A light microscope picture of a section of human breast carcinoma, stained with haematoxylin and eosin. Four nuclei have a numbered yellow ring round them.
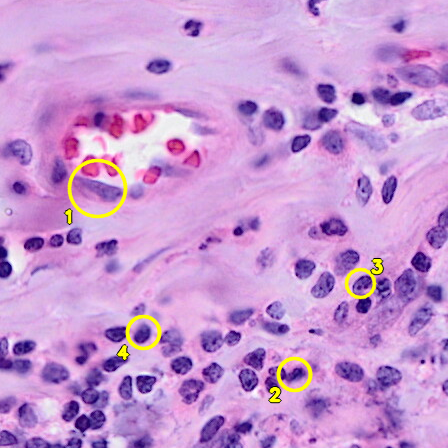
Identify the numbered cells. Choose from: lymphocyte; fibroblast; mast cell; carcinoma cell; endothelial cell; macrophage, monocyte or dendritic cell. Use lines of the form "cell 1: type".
cell 1: endothelial cell
cell 2: lymphocyte
cell 3: lymphocyte
cell 4: lymphocyte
